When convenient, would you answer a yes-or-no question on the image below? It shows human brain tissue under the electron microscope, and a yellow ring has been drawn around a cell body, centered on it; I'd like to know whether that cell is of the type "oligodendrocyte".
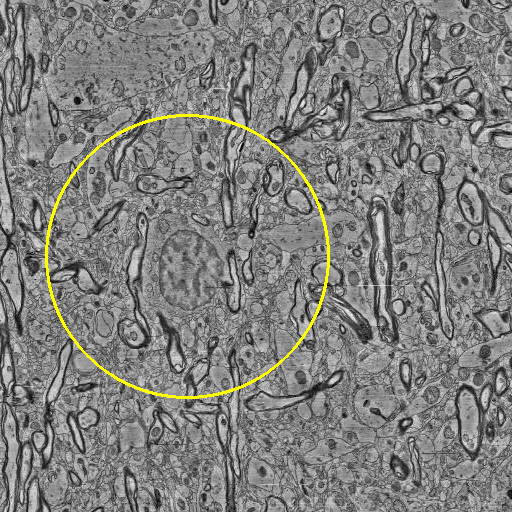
yes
